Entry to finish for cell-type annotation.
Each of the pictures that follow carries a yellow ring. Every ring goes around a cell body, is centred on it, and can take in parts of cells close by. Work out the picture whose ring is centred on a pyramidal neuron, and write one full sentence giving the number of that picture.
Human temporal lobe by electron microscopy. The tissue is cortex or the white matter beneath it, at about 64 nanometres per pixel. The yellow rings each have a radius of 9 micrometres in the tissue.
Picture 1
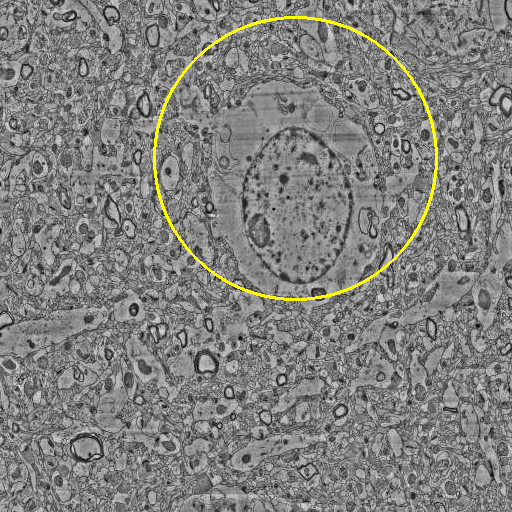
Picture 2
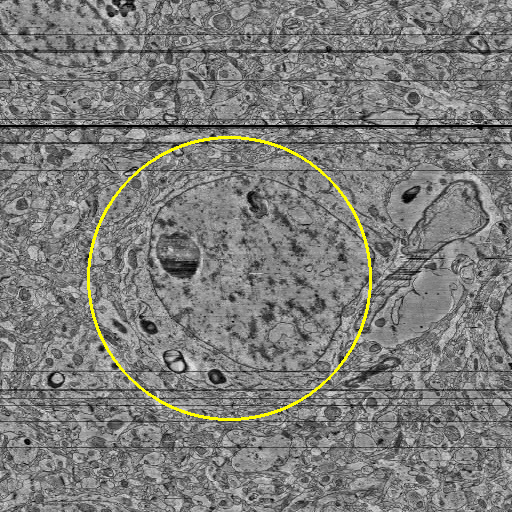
The cell at the heart of the ring in picture 2 matches the request.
